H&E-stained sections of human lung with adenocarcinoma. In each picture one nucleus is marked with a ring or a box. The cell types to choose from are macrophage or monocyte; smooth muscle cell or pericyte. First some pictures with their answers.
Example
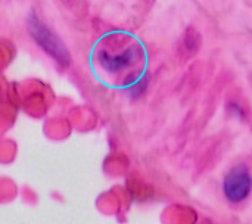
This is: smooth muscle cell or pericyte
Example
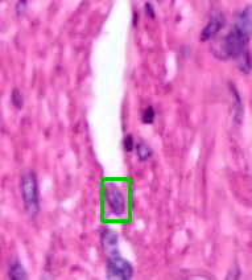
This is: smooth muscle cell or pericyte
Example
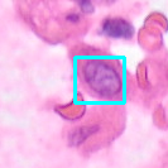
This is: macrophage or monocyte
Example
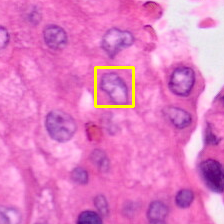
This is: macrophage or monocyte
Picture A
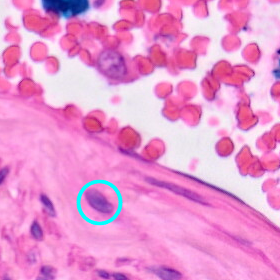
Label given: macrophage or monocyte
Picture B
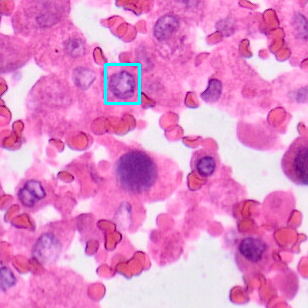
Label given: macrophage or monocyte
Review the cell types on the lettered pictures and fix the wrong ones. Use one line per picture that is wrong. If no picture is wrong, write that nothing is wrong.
A: not macrophage or monocyte but smooth muscle cell or pericyte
